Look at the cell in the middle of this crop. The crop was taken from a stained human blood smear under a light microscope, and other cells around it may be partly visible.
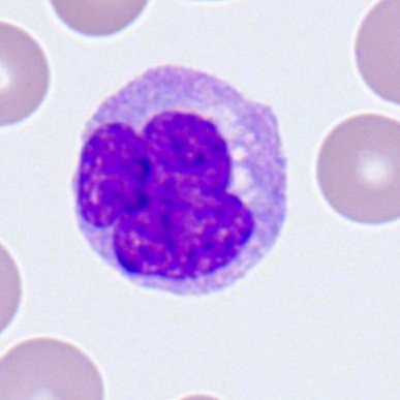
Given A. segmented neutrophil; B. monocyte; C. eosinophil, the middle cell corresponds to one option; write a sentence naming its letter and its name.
Here the central cell is a monocyte, and option B is correct.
